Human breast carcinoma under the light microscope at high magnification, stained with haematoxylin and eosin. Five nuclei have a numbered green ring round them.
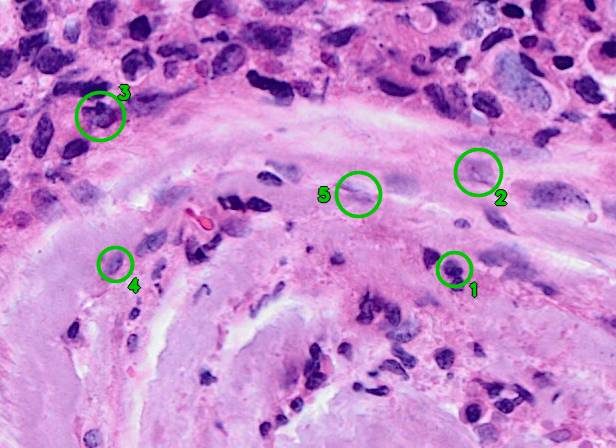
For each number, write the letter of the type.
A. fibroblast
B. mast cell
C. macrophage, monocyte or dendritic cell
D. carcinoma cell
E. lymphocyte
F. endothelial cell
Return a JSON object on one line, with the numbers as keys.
{"1": "E", "2": "A", "3": "D", "4": "F", "5": "A"}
